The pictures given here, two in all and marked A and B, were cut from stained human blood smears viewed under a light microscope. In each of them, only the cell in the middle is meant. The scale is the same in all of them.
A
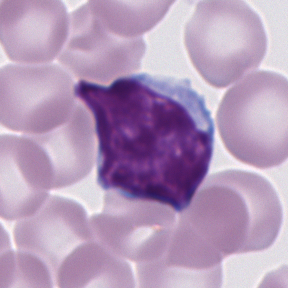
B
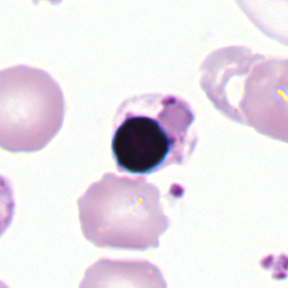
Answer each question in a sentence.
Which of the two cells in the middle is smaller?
It is the cell in crop B; the cell in crop A has about 3 times its area.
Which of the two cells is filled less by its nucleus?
It is the cell in crop B that is filled less by its nucleus.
